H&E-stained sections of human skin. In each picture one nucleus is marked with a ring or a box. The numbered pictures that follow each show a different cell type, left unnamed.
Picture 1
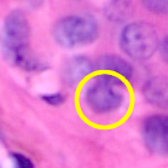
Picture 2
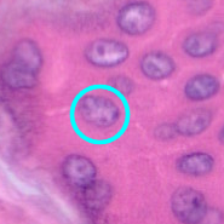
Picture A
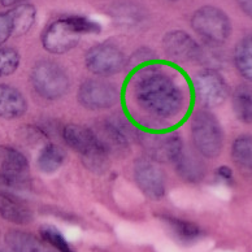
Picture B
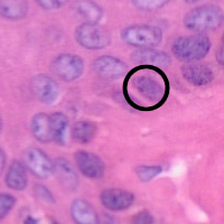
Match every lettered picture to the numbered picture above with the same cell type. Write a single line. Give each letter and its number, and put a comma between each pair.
A 1, B 1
